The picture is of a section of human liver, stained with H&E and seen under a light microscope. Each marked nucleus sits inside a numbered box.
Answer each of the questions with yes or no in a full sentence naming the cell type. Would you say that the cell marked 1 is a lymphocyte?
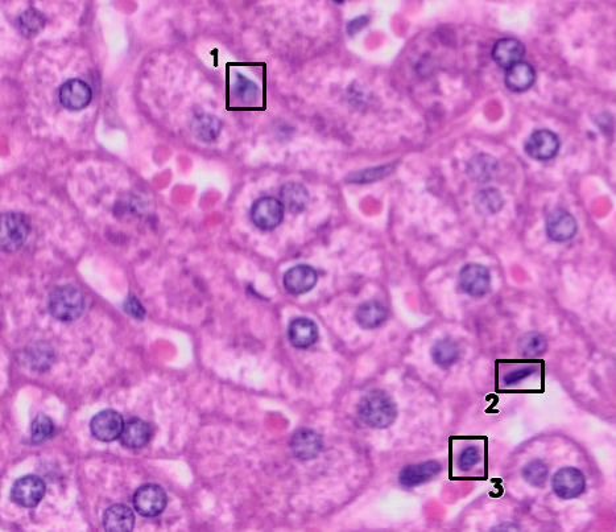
No, the identification of cell 1 as a lymphocyte is incorrect; it is an endothelial cell.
